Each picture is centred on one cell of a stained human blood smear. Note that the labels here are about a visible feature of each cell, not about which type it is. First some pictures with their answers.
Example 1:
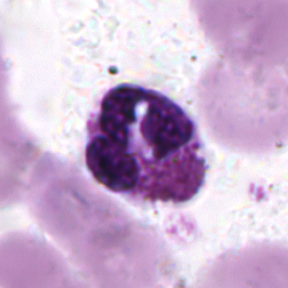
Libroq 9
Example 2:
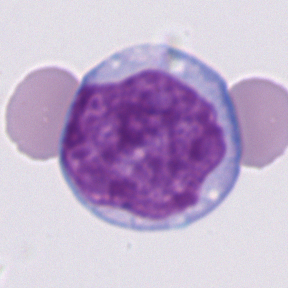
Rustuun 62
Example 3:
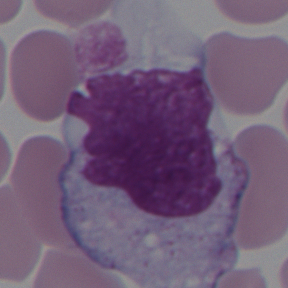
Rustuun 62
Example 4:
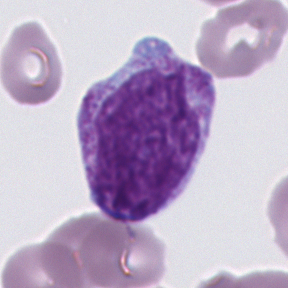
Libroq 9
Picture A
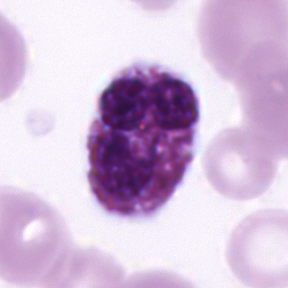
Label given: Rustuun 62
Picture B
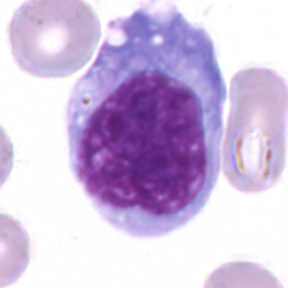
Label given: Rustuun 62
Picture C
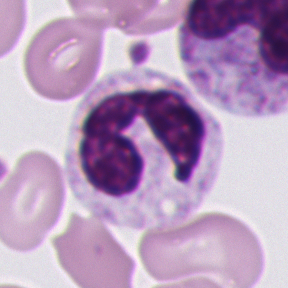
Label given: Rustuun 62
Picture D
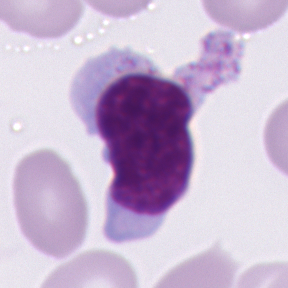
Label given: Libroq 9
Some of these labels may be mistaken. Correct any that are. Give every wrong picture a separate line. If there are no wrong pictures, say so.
A should be Libroq 9, not Rustuun 62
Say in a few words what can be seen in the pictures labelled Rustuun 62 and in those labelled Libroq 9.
Rustuun 62, vacuoles present; Libroq 9, no vacuoles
